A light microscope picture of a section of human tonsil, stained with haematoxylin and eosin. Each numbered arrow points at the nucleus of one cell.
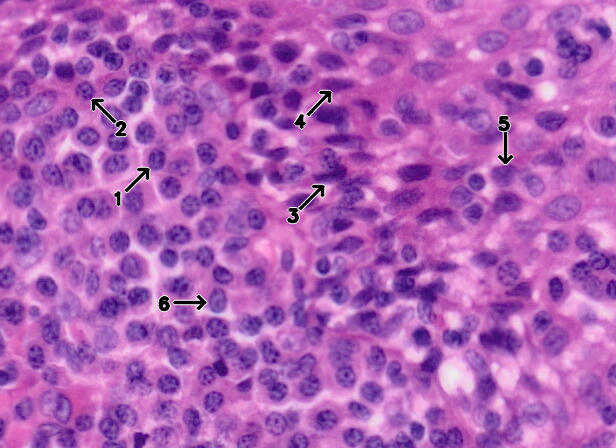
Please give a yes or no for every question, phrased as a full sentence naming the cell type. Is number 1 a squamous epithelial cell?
No, number 1 is not a squamous epithelial cell but a plasma cell.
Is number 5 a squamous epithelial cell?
Yes, number 5 corresponds to a squamous epithelial cell.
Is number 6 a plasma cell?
Yes, number 6 marks a cell that is a plasma cell.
